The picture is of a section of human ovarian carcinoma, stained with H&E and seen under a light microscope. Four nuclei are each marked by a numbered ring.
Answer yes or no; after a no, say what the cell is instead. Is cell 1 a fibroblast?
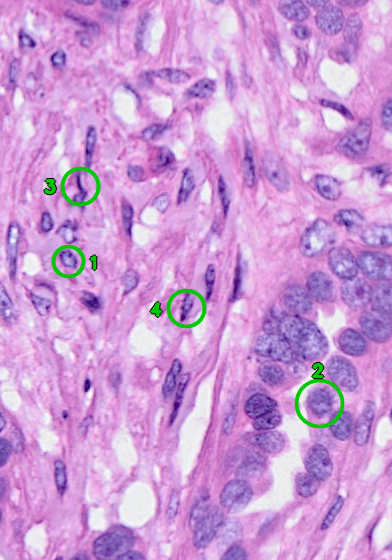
Yes.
